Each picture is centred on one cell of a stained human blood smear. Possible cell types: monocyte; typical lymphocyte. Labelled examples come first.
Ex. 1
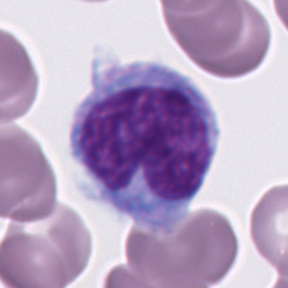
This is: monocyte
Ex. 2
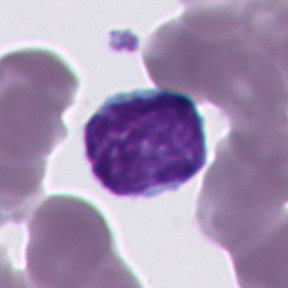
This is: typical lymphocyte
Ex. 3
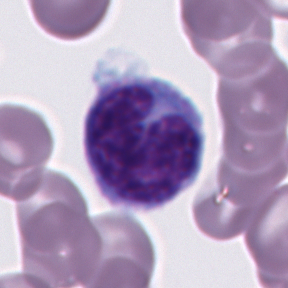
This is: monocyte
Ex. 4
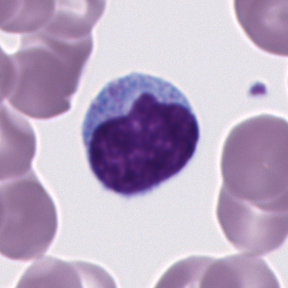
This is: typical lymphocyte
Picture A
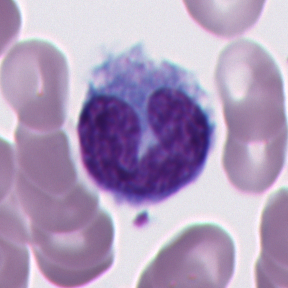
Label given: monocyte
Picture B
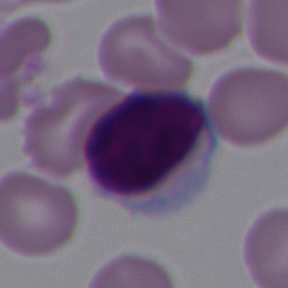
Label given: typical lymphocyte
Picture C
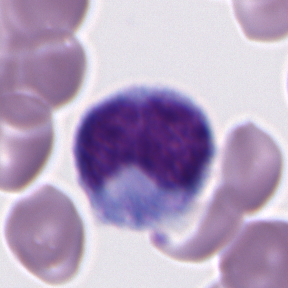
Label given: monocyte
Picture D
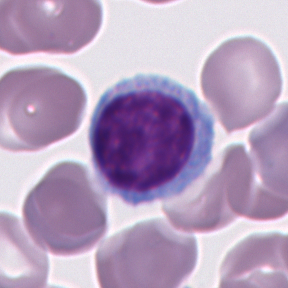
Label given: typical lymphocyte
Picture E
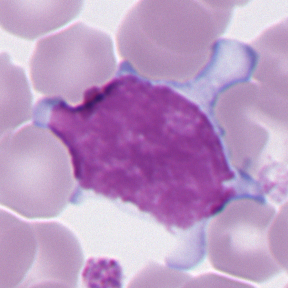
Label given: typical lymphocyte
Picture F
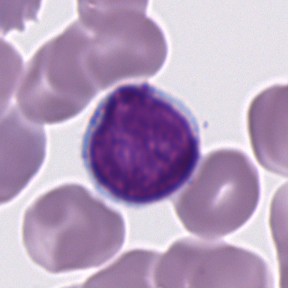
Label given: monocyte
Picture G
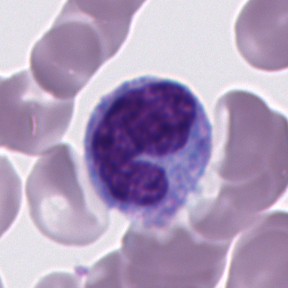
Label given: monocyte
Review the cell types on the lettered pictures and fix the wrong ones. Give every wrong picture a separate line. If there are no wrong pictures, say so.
F should be typical lymphocyte, not monocyte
